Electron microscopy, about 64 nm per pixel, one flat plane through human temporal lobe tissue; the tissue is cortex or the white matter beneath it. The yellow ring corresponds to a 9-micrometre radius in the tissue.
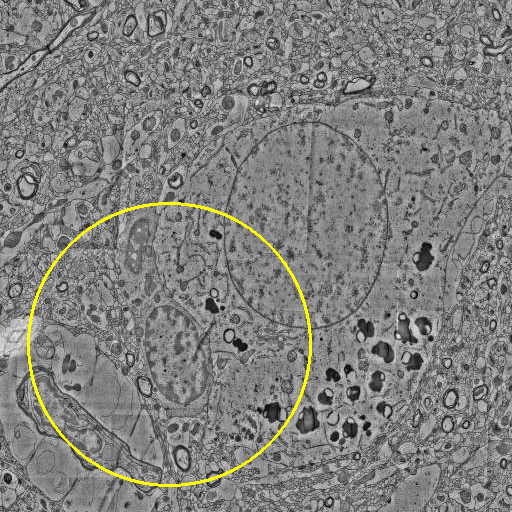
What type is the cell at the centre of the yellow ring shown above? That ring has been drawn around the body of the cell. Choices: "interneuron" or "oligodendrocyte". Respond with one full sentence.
My answer is that an oligodendrocyte lies at the centre of the yellow ring above.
